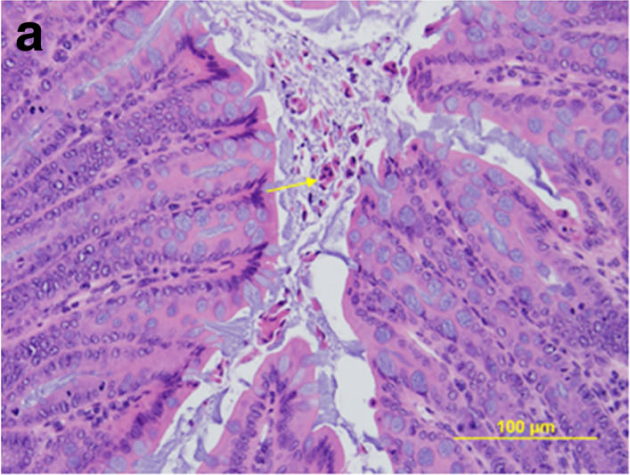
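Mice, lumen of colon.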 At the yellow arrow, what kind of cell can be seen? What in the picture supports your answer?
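Degenerative epithelial cells. The arrow points to a loose group of detached, deeply pink-staining cells lying in the space between mucosal folds. These cells lie in pale wispy luminal material, apart from the intact epithelial lining.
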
